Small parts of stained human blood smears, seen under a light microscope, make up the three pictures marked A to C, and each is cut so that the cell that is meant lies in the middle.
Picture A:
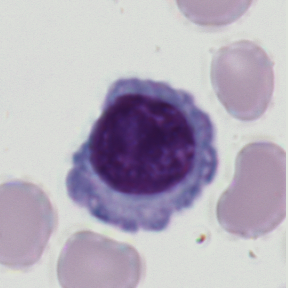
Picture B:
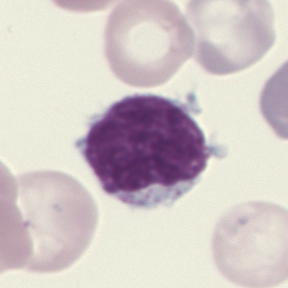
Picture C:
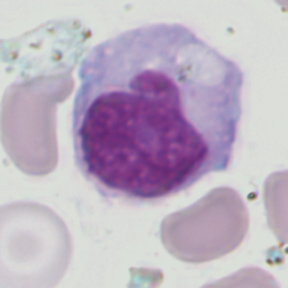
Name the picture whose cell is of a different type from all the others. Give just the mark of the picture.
B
